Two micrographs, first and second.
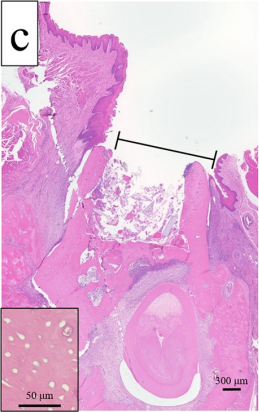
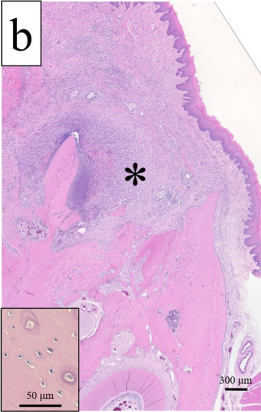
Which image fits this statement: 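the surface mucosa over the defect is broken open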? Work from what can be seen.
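First image: the surface epithelium is interrupted above the socket, leaving an open gap with debris. Second image: a continuous stratified epithelium covers the whole top and right edge over the defect. The answer: the first image.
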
